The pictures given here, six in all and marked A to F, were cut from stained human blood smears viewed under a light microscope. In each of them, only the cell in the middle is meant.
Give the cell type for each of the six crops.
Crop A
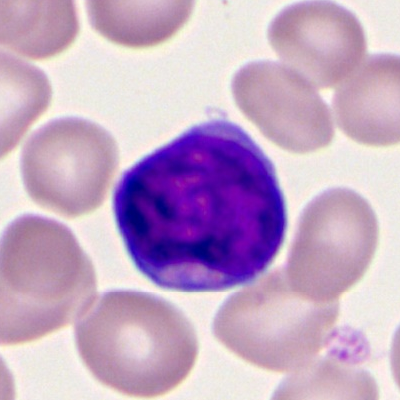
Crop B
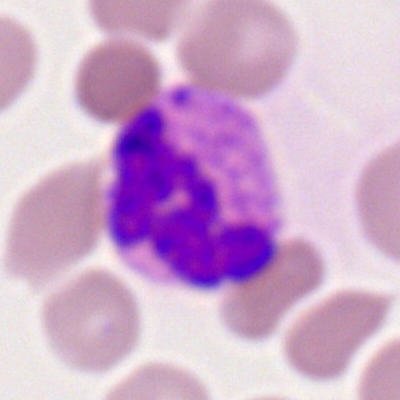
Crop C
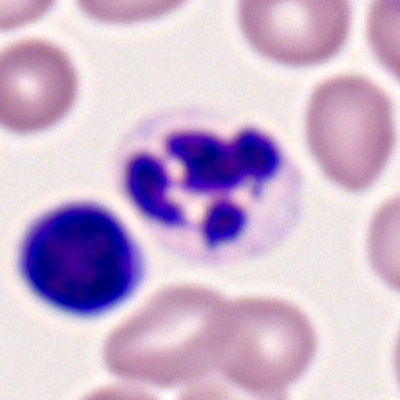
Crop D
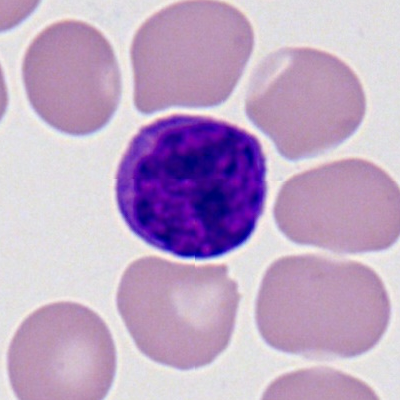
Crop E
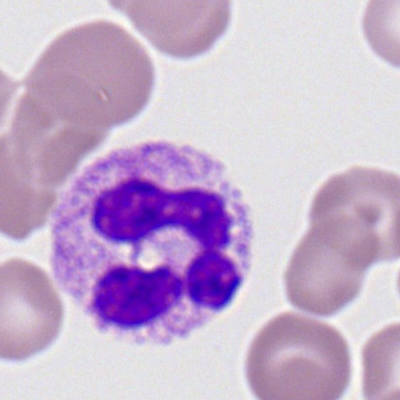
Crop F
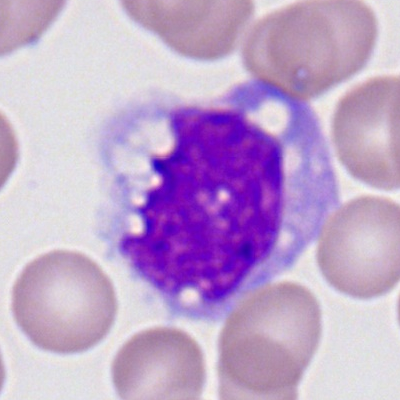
A: myeloblast
B: basophil
C: segmented neutrophil
D: lymphocyte
E: segmented neutrophil
F: monocyte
